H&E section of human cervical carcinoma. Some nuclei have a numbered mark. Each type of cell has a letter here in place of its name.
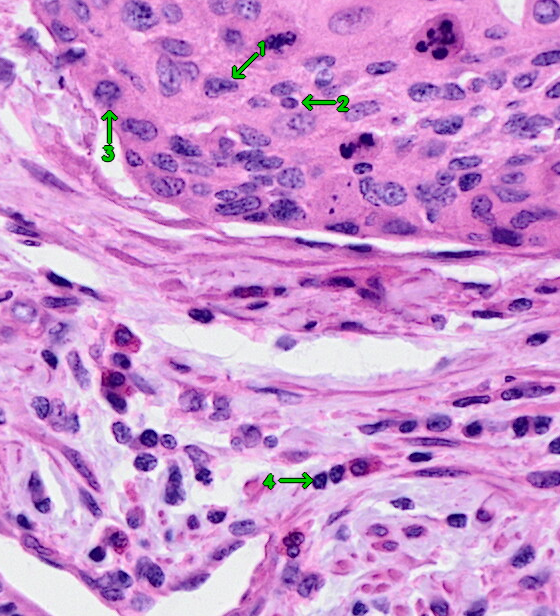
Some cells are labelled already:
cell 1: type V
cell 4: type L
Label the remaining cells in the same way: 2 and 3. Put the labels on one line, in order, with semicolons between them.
type V; type V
